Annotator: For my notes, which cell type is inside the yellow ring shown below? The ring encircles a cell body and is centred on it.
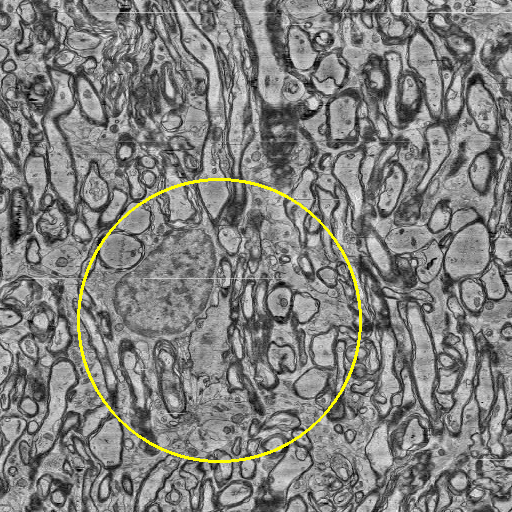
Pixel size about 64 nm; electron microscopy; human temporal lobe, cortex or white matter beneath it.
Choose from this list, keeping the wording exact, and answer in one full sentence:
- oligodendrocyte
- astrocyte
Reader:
At the centre of the yellow ring there is an oligodendrocyte, as shown in the picture.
